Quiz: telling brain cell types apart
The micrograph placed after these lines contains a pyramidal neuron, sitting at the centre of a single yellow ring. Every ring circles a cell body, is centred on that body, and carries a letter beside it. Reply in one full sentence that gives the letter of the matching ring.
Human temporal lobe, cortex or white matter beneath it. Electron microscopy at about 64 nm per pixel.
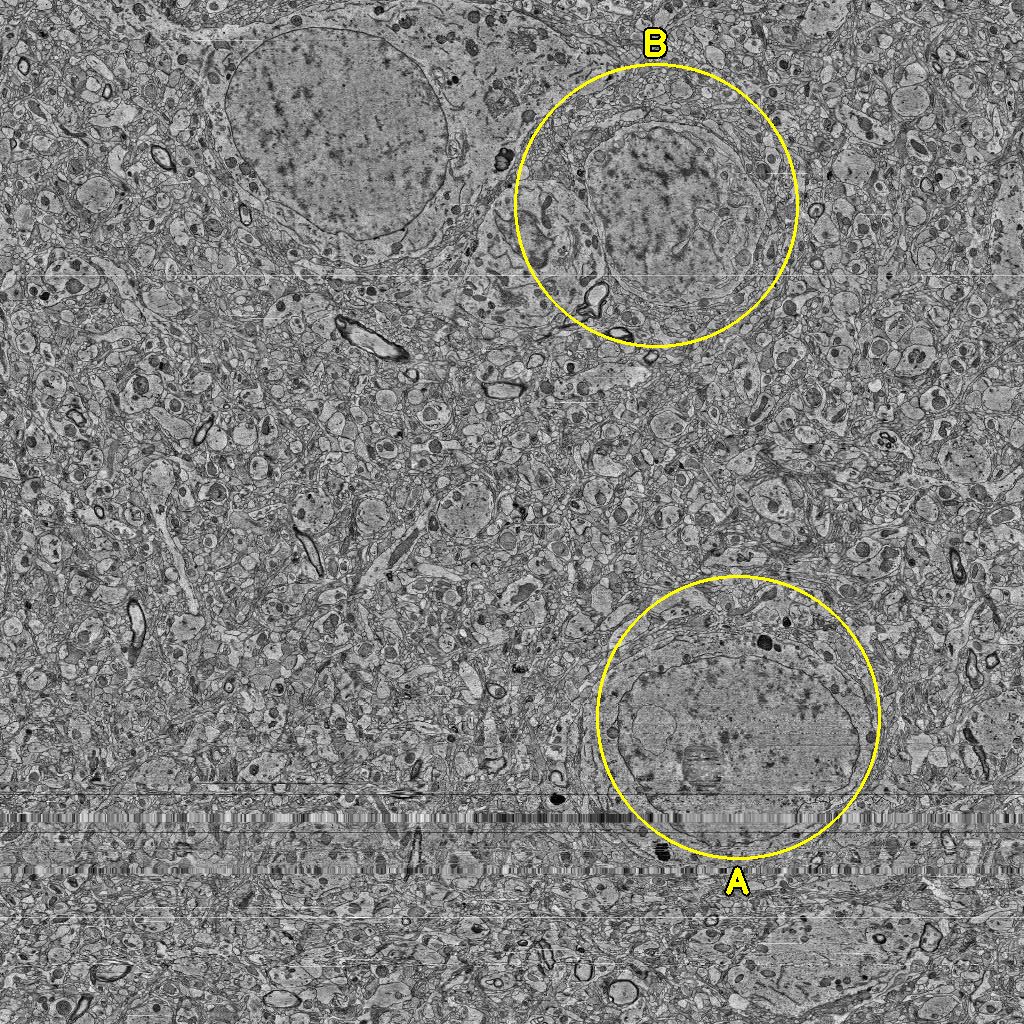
The cell asked for lies at the centre of ring A in the picture.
